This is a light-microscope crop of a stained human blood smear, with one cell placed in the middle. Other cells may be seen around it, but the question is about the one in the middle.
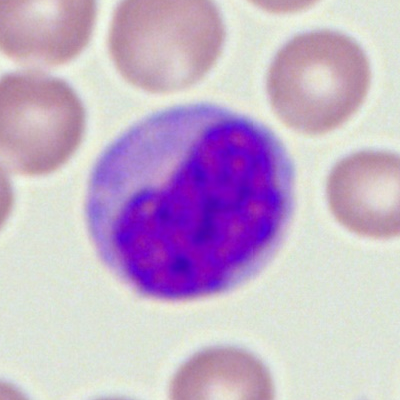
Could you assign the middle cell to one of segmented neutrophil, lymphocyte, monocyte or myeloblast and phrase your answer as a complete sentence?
Positioned in the middle of the crop is a monocyte.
